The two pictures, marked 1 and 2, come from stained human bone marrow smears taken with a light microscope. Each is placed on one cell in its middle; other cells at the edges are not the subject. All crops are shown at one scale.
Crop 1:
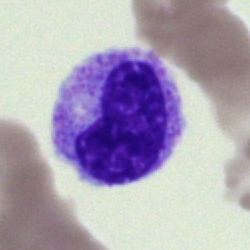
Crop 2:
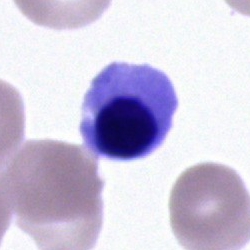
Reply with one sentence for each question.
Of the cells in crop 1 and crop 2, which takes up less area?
Crop 2 holds the smaller cell, since the cell in crop 1 covers about 2 times as much area.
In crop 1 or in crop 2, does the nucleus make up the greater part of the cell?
In crop 1 the nucleus takes up the larger part of its cell.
